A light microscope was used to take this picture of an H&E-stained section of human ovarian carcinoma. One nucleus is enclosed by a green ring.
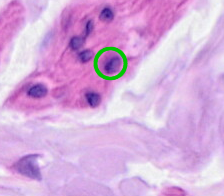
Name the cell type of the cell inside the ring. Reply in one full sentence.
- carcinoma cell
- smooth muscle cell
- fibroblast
In this field of tissue, the cell inside the ring is a smooth muscle cell.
